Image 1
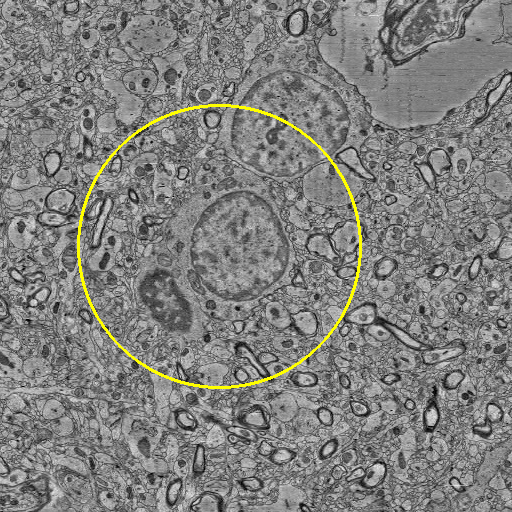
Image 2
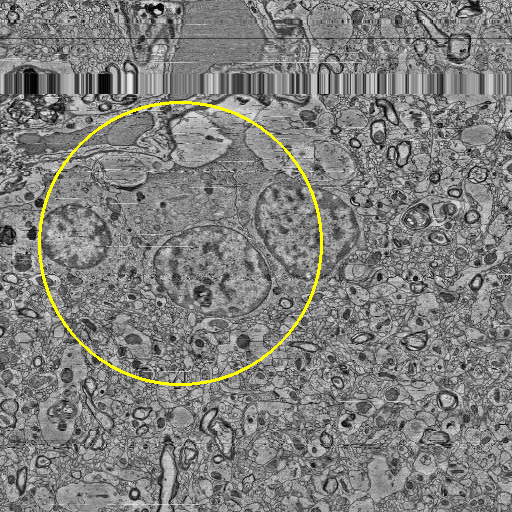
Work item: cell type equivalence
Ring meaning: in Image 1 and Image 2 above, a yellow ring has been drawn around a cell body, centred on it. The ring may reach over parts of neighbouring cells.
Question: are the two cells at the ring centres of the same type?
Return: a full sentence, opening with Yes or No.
Yes, the two centred cells are of the same type.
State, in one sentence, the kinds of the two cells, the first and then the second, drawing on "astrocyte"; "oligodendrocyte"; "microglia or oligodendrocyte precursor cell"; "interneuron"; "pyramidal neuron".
Both pictures show an oligodendrocyte at the centre of the ring.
